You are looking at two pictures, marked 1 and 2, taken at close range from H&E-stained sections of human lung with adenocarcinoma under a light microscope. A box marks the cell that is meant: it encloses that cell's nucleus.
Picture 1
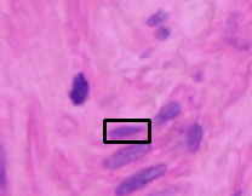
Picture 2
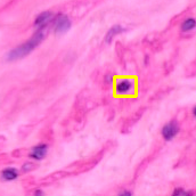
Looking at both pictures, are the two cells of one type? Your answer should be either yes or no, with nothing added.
yes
